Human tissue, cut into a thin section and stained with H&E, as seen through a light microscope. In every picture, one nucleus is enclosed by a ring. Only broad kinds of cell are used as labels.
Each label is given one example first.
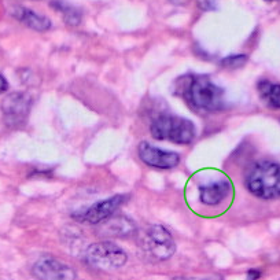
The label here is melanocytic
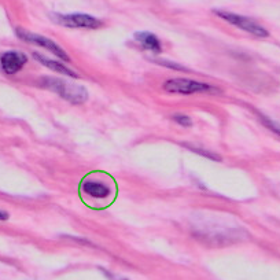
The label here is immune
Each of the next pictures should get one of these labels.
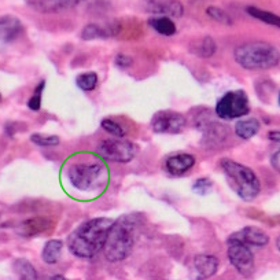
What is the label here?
melanocytic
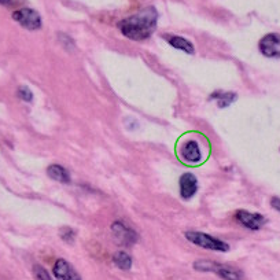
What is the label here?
immune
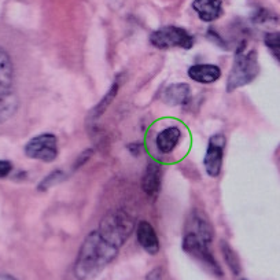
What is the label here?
immune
